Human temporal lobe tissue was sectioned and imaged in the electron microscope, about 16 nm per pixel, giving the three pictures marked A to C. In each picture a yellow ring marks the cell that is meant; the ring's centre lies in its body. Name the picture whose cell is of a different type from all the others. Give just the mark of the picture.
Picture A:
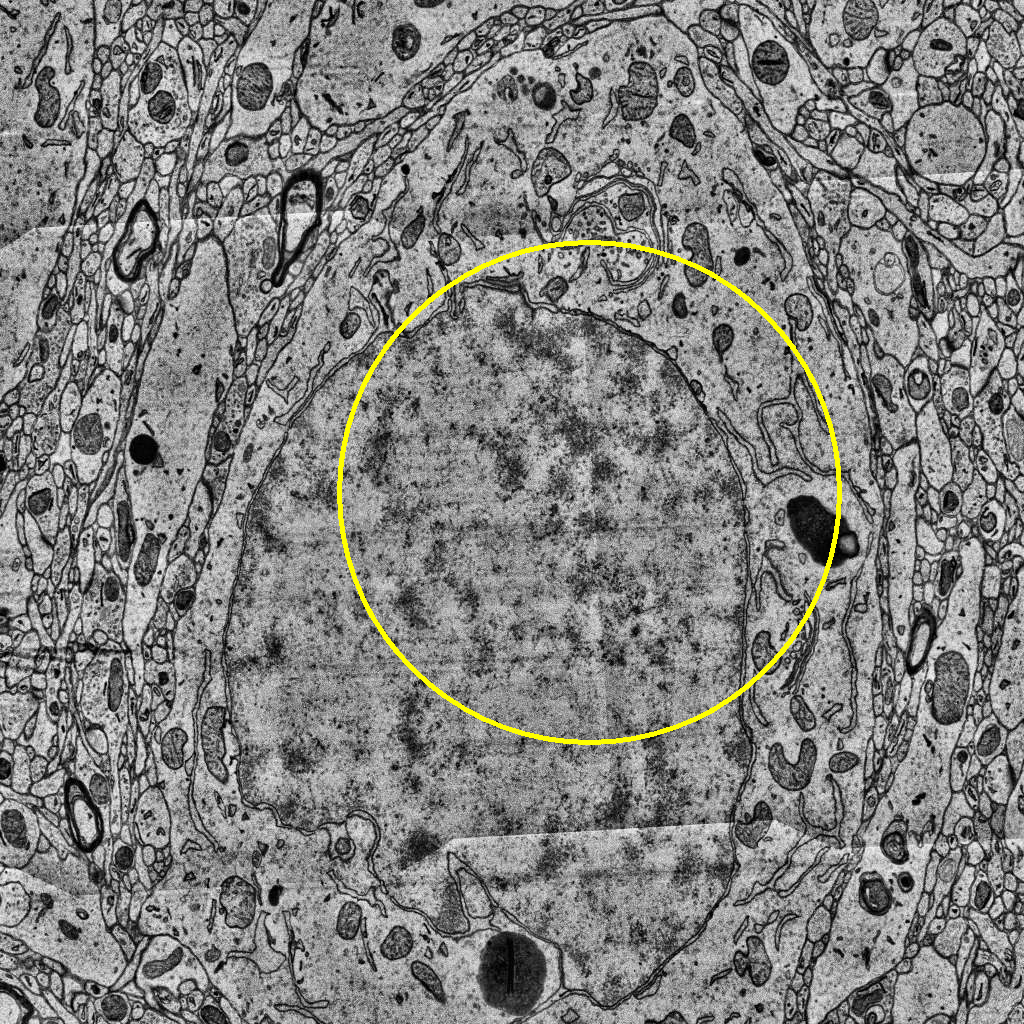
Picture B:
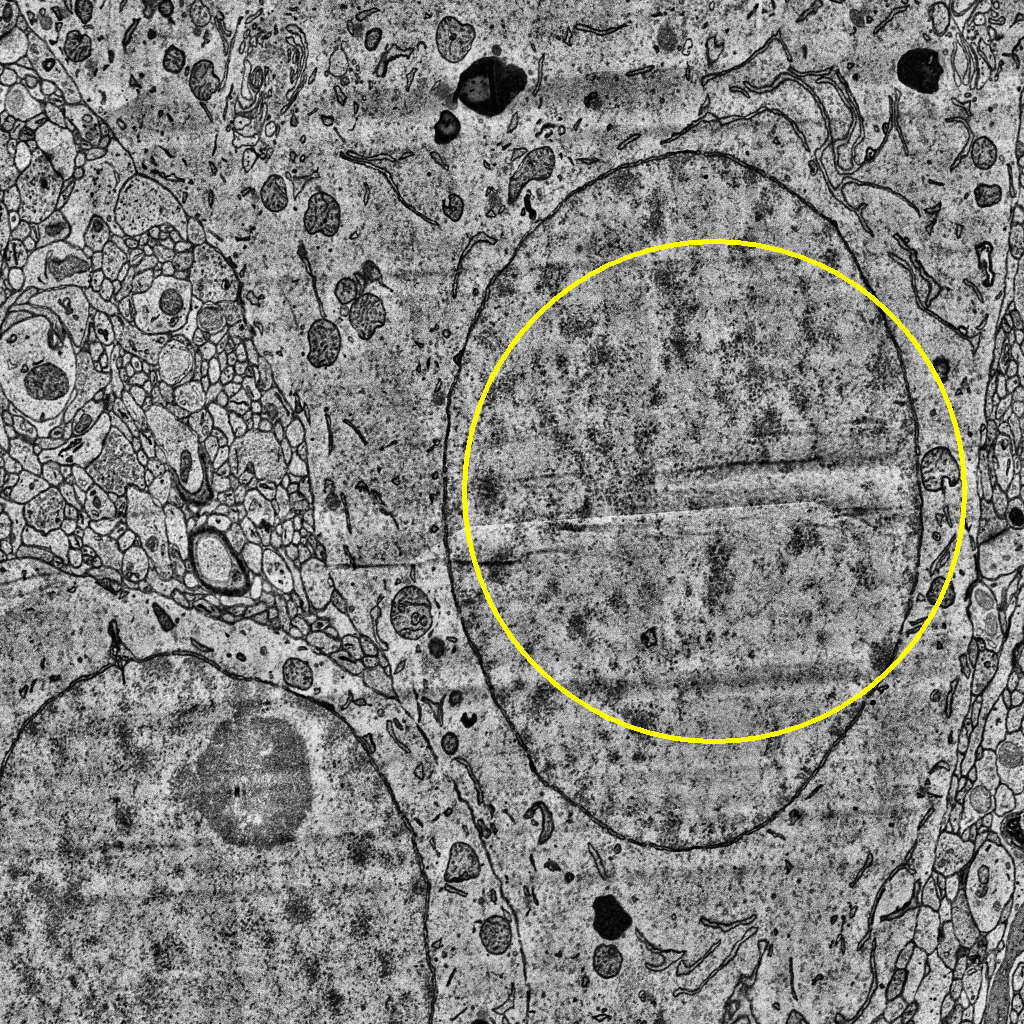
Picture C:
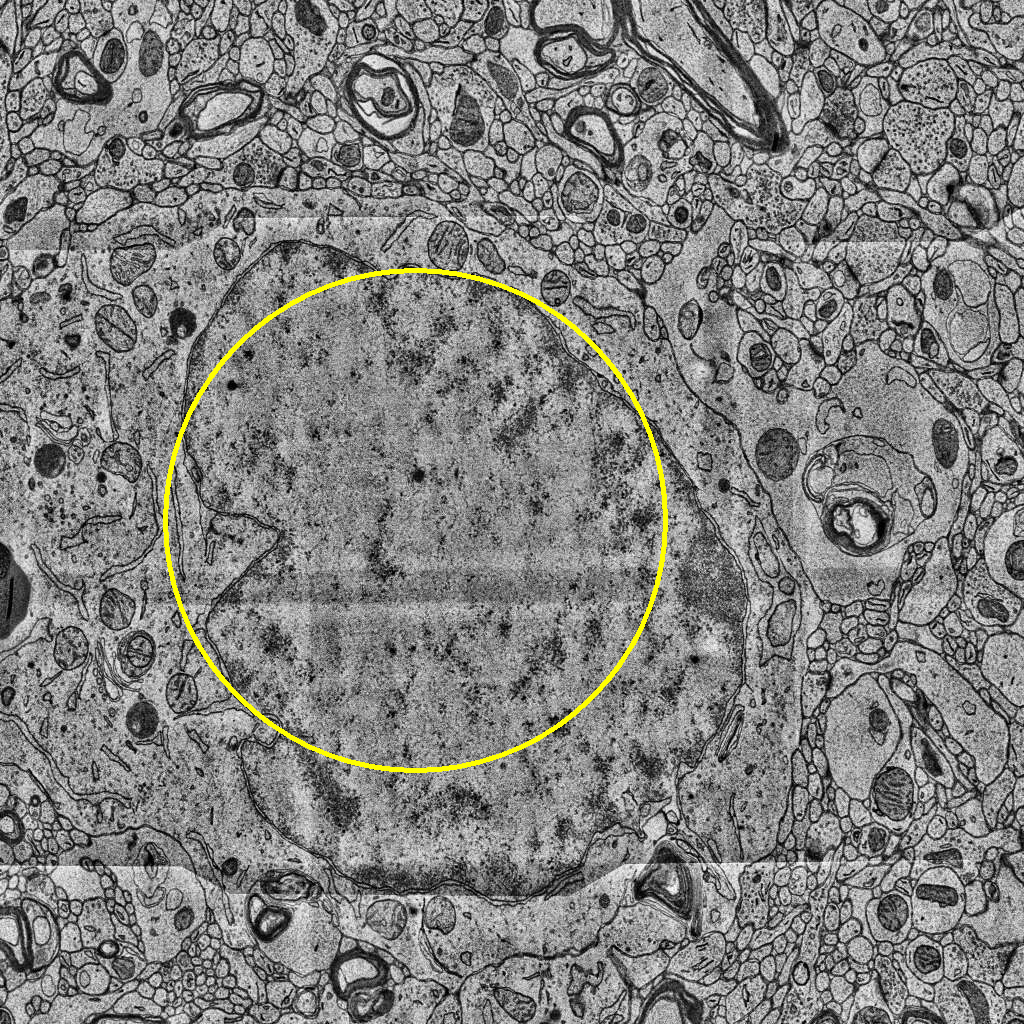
B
